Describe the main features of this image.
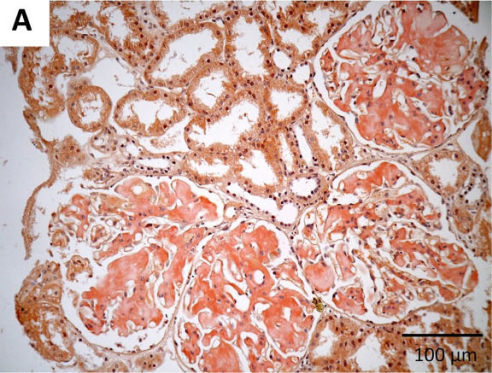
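Kidney cortex with several enlarged glomeruli whose tufts are extensively replaced by homogeneous, amorphous salmon-red material. Between the glomeruli lie cross-sectioned tubules lined by cuboidal epithelium with round dark nuclei and orange-tinged cytoplasm around open lumens. The tubules are separated by a scant, thin interstitium.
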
